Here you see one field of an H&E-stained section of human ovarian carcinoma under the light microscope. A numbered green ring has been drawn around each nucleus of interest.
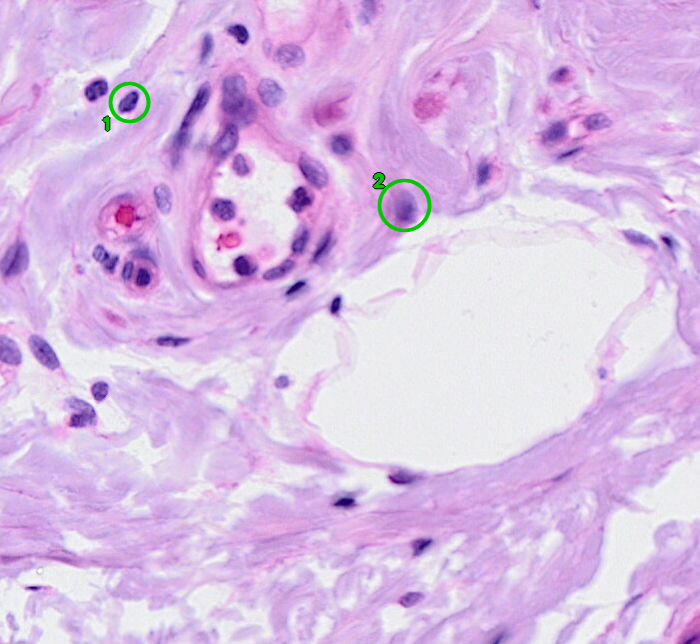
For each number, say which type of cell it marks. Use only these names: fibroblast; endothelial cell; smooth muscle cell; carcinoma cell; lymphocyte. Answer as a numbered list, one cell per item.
1. lymphocyte
2. fibroblast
